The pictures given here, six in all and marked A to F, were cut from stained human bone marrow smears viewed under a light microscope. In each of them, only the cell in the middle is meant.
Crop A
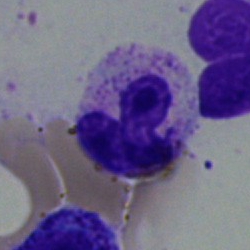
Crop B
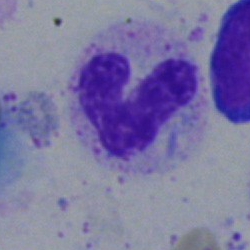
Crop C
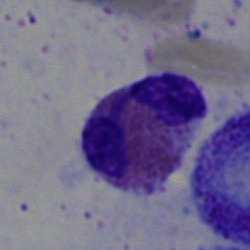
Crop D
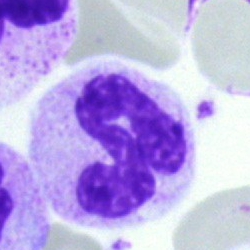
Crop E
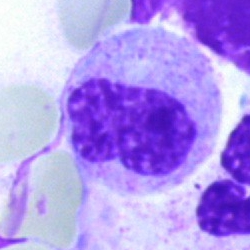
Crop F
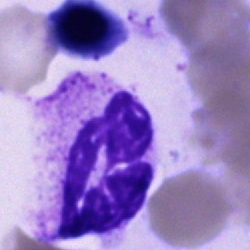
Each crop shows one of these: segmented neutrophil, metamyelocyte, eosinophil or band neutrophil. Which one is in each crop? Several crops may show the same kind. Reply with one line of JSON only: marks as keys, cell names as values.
{"A": "segmented neutrophil", "B": "band neutrophil", "C": "eosinophil", "D": "segmented neutrophil", "E": "band neutrophil", "F": "segmented neutrophil"}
